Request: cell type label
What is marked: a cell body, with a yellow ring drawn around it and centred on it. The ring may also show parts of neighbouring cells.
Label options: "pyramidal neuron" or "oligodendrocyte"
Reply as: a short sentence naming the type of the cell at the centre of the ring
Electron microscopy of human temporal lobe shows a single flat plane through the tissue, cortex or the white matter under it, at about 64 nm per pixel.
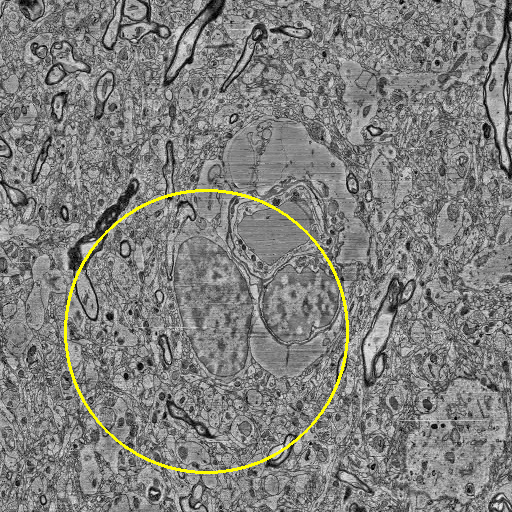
The marked cell body is that of an oligodendrocyte.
